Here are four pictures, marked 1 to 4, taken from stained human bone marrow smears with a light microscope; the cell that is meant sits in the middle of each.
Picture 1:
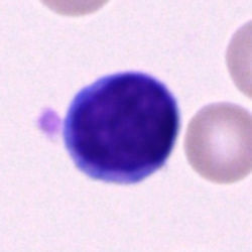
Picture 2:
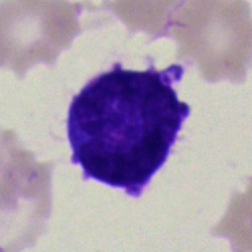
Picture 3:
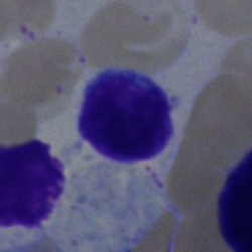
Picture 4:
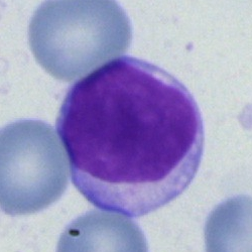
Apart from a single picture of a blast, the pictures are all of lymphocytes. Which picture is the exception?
2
